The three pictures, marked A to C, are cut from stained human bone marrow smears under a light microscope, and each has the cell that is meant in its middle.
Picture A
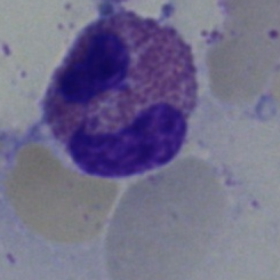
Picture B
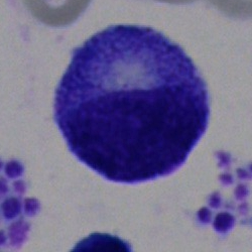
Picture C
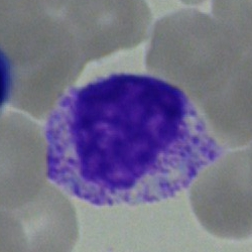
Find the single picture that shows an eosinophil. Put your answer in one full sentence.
The eosinophil is the one in picture A.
